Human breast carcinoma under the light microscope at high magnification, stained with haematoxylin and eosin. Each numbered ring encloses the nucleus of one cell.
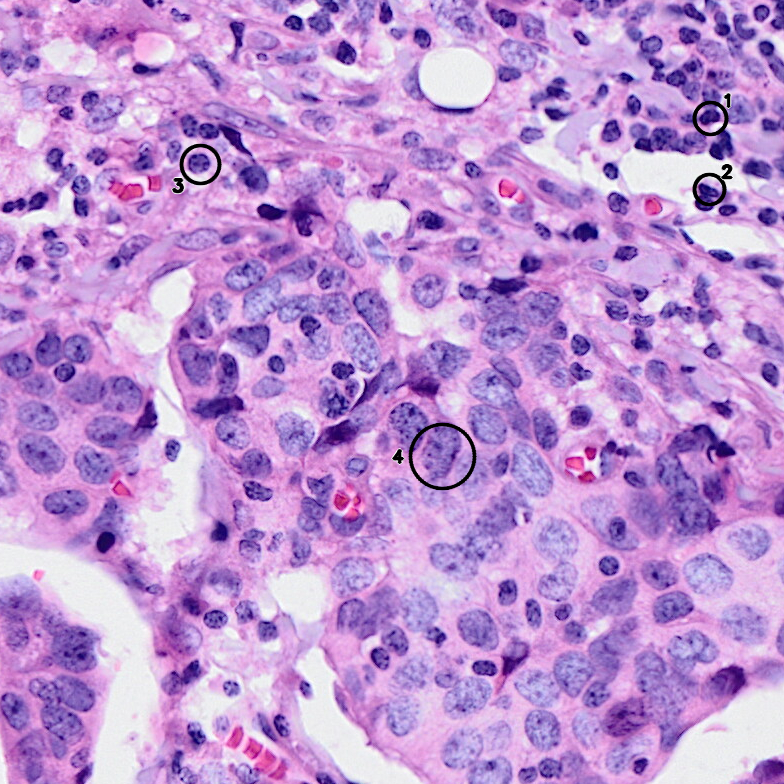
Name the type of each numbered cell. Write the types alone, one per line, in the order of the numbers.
lymphocyte
lymphocyte
lymphocyte
carcinoma cell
